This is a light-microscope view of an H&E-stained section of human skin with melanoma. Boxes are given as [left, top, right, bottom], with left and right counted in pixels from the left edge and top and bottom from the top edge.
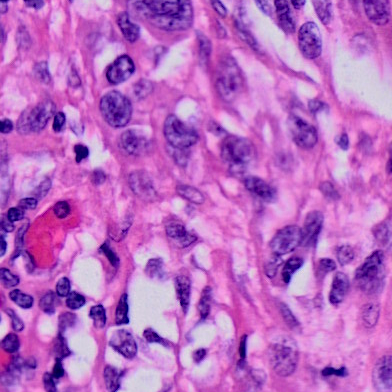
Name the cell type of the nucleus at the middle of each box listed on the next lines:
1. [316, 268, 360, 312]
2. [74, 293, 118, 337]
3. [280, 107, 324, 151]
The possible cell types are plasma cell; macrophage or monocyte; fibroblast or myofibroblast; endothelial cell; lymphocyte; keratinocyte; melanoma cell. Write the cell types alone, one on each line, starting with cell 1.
melanoma cell
lymphocyte
melanoma cell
